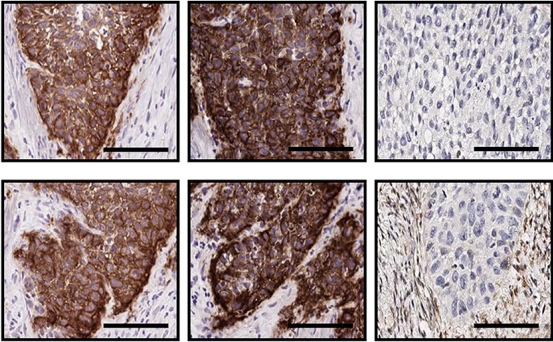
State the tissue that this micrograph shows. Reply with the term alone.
tumor tissue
